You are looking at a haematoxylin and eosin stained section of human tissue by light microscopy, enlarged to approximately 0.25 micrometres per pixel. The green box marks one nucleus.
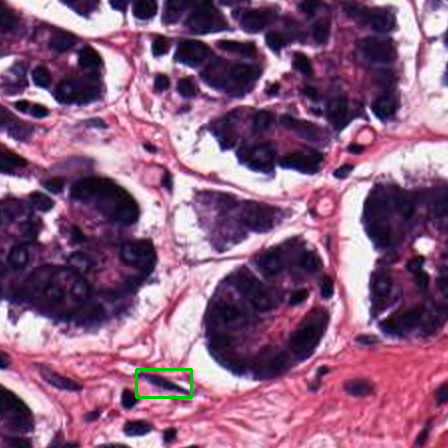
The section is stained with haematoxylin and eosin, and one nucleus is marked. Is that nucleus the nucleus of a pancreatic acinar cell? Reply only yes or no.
no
